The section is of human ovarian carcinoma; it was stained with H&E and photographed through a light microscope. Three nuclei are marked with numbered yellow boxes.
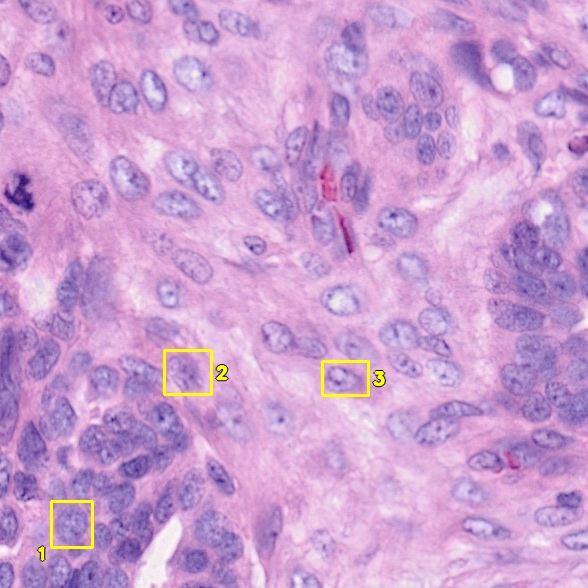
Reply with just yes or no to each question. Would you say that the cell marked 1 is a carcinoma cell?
yes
